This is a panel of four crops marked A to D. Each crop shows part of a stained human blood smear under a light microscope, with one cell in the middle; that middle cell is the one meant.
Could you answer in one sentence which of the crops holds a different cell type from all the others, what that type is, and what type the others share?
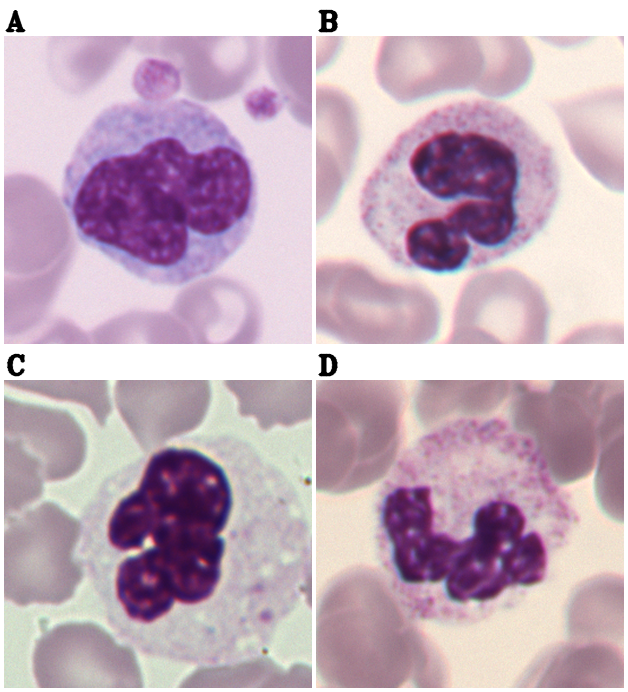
Found in all crops but one are segmented neutrophils; the exception, crop A, contains a monocyte.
